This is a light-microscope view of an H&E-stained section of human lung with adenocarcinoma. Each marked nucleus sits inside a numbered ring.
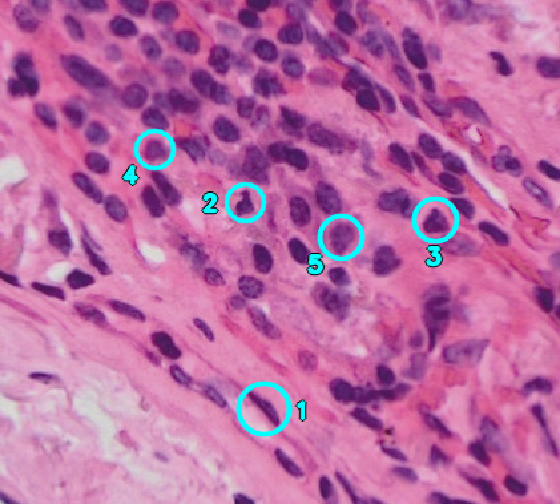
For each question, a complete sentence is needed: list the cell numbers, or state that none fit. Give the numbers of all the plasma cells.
Of all the numbered cells, only one is a plasma cell, and that is cell 5.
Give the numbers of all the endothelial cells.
Mind that only cell 1 is an endothelial cell, none of the rest.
